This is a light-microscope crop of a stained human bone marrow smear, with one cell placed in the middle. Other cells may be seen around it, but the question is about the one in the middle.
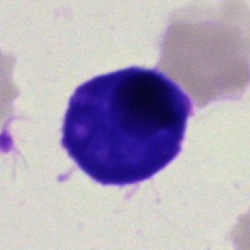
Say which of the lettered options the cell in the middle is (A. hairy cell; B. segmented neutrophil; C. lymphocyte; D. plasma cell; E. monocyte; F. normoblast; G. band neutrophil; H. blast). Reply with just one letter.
D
